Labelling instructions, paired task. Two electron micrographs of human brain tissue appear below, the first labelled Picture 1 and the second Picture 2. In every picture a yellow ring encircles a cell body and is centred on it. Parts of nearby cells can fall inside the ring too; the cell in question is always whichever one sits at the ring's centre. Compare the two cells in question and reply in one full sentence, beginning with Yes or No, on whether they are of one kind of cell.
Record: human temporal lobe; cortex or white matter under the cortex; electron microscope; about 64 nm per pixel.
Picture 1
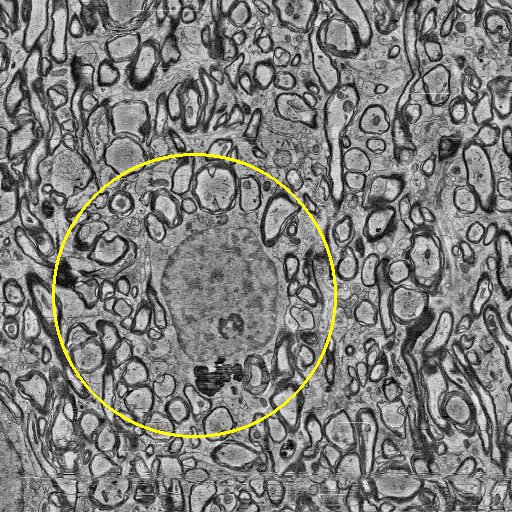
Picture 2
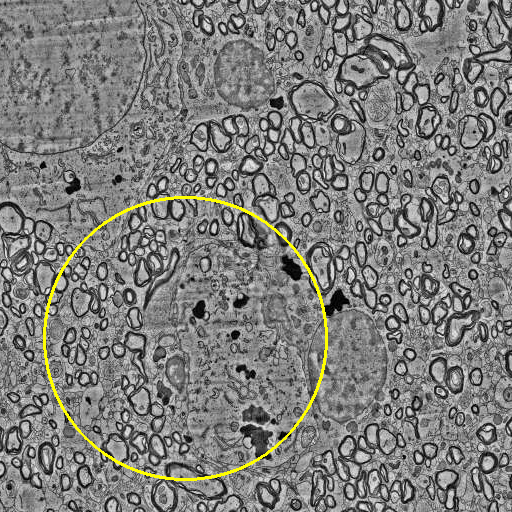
No, the two cells at the ring centres in Picture 1 and Picture 2 are of two kinds.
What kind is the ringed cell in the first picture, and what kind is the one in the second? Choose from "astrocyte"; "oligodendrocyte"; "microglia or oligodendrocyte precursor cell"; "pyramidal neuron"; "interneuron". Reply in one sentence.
The first cell is an oligodendrocyte; the second is a microglial cell or oligodendrocyte precursor cell.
